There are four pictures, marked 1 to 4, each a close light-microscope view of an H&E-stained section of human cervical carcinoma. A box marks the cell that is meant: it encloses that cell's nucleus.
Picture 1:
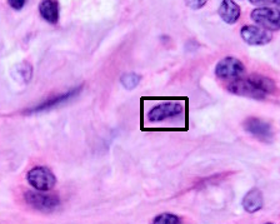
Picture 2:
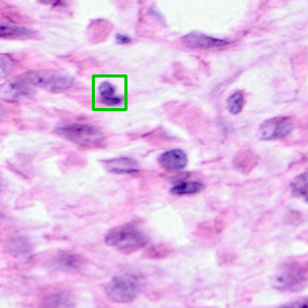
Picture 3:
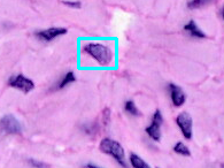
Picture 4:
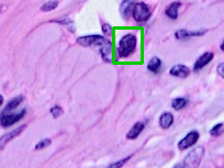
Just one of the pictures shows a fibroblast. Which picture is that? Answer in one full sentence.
Picture 3 shows the fibroblast.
